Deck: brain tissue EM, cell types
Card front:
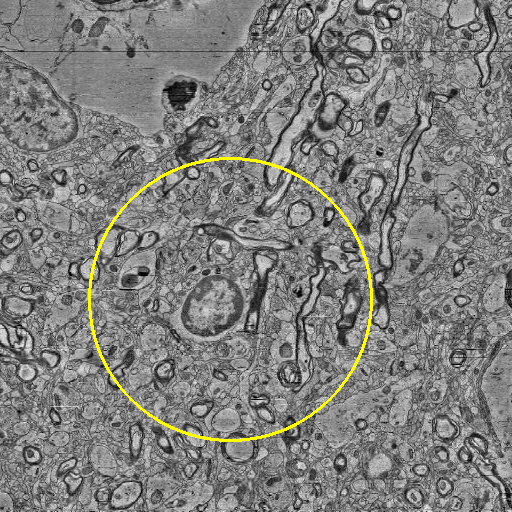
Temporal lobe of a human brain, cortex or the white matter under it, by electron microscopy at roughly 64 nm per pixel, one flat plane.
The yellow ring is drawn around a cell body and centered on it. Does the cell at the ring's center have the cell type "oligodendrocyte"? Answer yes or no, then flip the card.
no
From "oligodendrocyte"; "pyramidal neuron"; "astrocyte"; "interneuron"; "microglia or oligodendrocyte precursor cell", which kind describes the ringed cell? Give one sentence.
The answer is that the ringed cell is a microglial cell or oligodendrocyte precursor cell.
